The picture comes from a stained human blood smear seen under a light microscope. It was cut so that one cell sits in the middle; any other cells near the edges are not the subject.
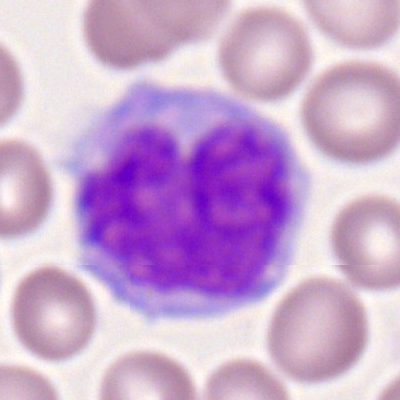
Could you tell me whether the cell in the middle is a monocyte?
yes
